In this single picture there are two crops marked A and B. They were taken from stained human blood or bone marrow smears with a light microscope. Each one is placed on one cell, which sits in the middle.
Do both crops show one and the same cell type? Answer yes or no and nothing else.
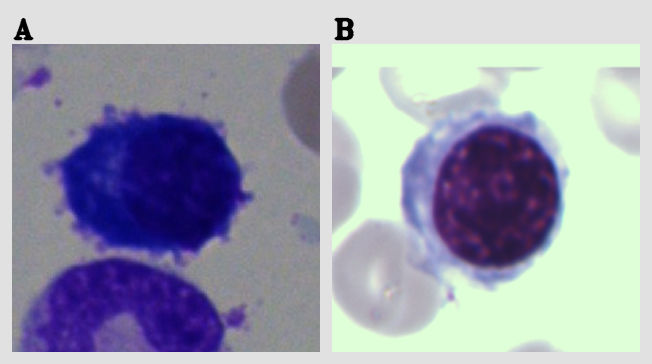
no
